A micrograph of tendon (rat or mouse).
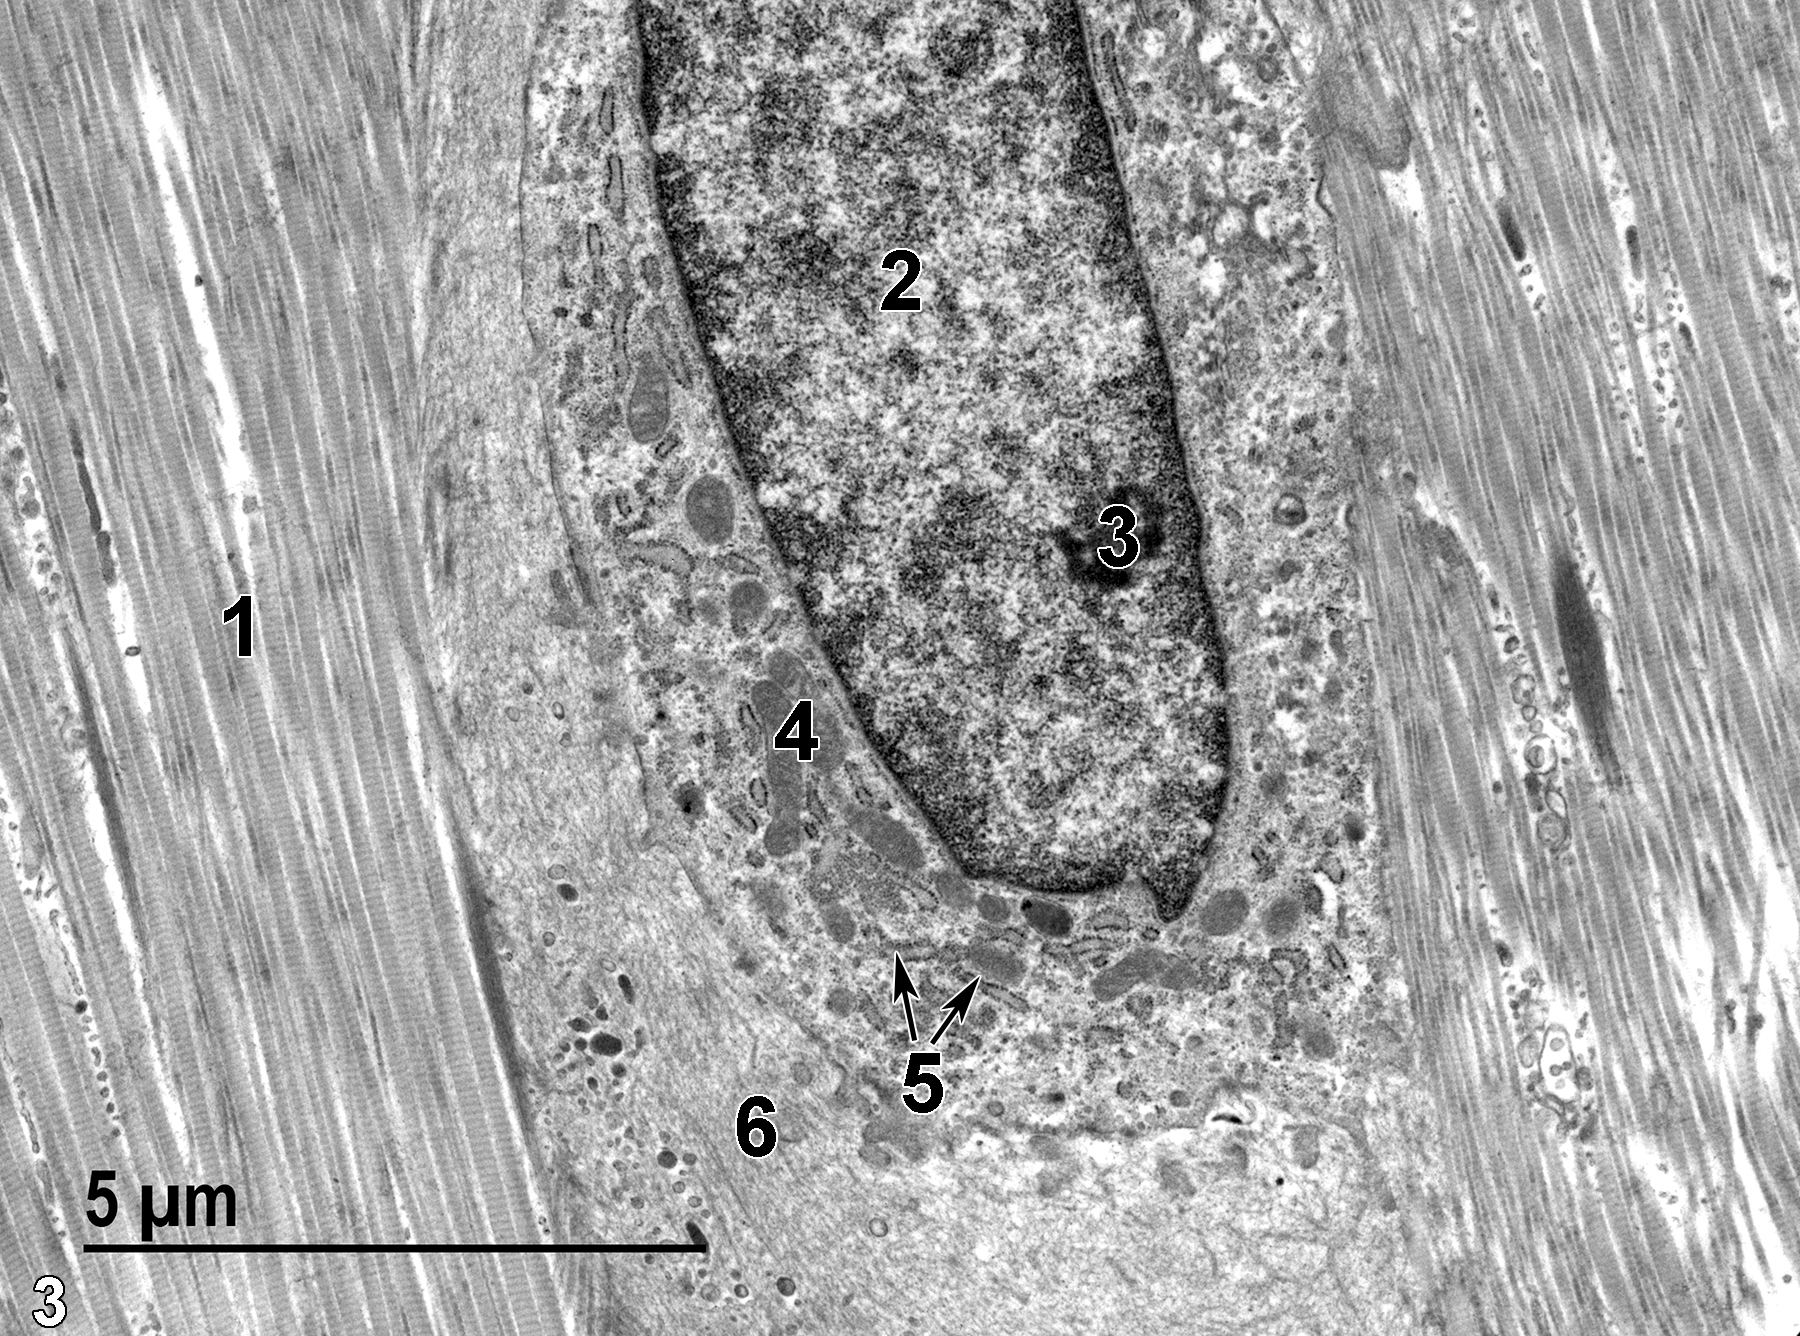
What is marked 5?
Rough endoplasmic reticulum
